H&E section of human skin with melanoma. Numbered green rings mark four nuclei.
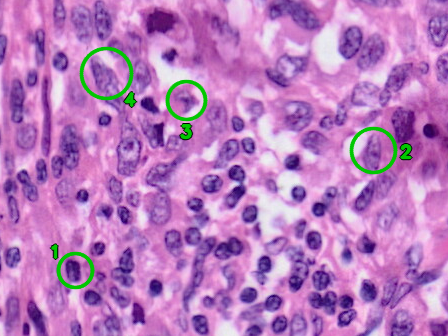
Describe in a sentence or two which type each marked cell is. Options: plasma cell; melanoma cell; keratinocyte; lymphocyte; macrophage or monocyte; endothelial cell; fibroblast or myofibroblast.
Cell 1 is a lymphocyte, cell 2 is a melanoma cell, cell 3 is a melanoma cell and cell 4 is a melanoma cell.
